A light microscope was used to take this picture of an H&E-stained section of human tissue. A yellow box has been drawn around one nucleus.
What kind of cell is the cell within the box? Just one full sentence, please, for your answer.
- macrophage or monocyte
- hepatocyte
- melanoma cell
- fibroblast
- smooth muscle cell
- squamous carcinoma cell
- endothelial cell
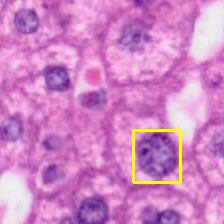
The identity of the cell within the box: it is a hepatocyte.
